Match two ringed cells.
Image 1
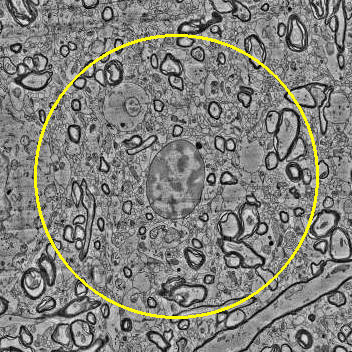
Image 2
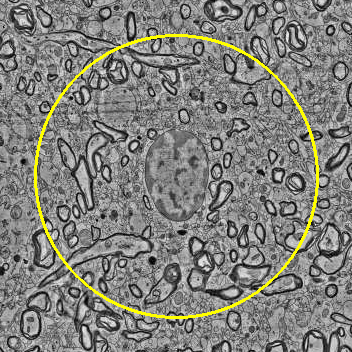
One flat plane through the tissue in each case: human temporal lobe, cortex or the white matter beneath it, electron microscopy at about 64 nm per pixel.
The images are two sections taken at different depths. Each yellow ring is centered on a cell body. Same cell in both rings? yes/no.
yes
